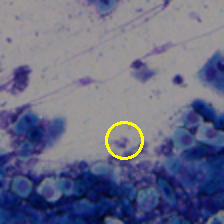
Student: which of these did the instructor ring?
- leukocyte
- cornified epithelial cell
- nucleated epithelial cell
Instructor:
The cell I ringed is a leukocyte.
